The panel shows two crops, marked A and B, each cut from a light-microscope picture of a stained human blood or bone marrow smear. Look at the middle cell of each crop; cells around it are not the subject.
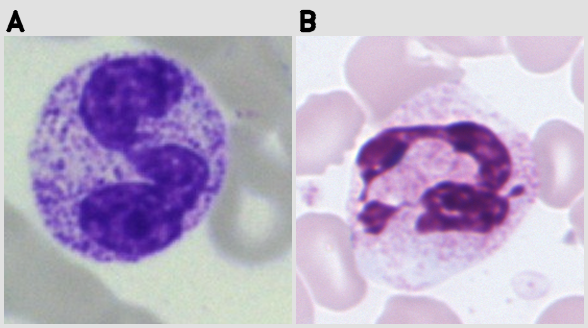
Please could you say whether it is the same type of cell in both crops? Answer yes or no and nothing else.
yes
